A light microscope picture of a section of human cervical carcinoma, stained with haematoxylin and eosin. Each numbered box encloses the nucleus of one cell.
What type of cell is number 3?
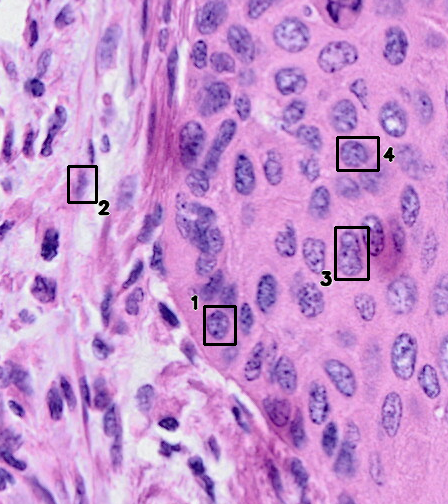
squamous carcinoma cell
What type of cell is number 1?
squamous carcinoma cell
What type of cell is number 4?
squamous carcinoma cell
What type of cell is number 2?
fibroblast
